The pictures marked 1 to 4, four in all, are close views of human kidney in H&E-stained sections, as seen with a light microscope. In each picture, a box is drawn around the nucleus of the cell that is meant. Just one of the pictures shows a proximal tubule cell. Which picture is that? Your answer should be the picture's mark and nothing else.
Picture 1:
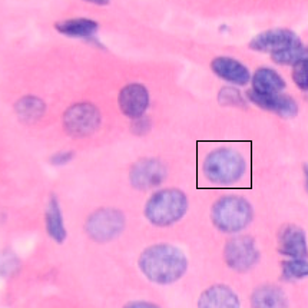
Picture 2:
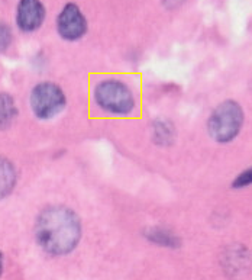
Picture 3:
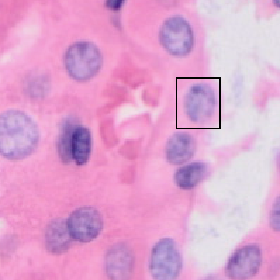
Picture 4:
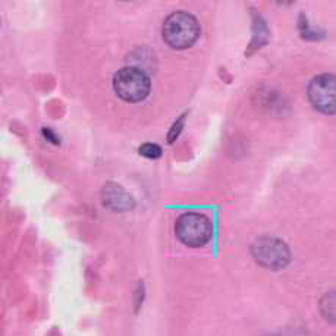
4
